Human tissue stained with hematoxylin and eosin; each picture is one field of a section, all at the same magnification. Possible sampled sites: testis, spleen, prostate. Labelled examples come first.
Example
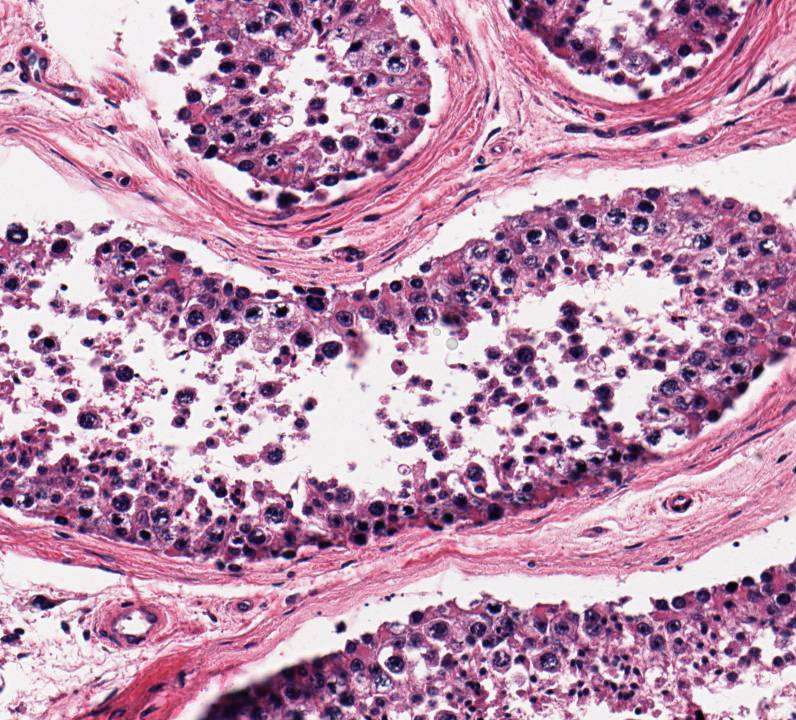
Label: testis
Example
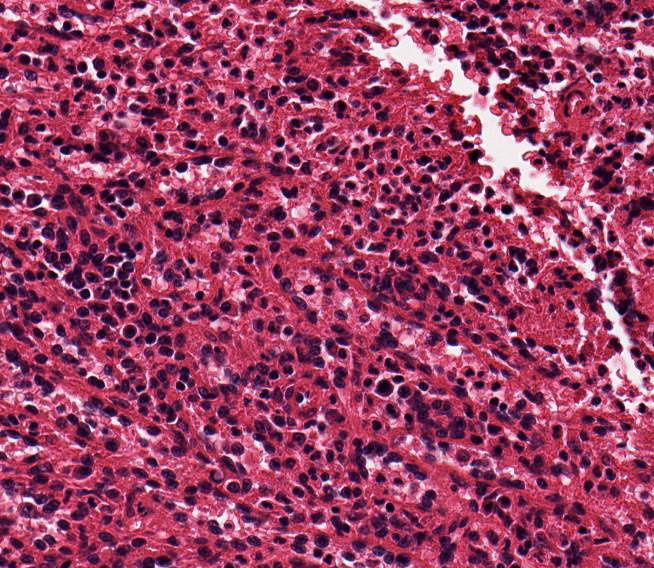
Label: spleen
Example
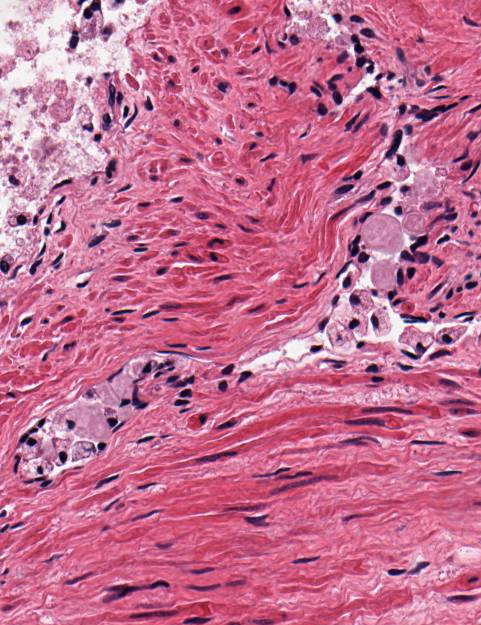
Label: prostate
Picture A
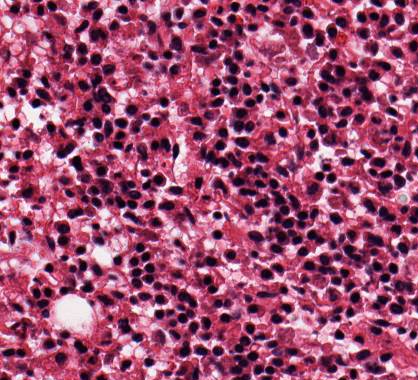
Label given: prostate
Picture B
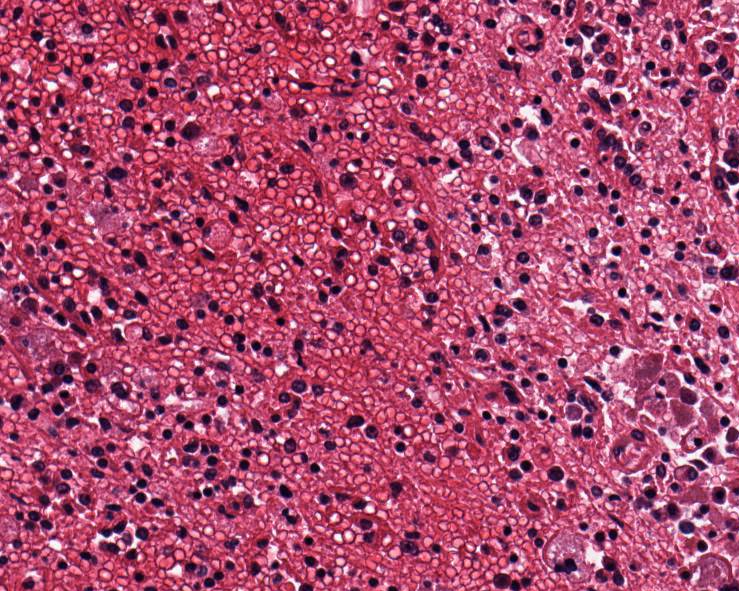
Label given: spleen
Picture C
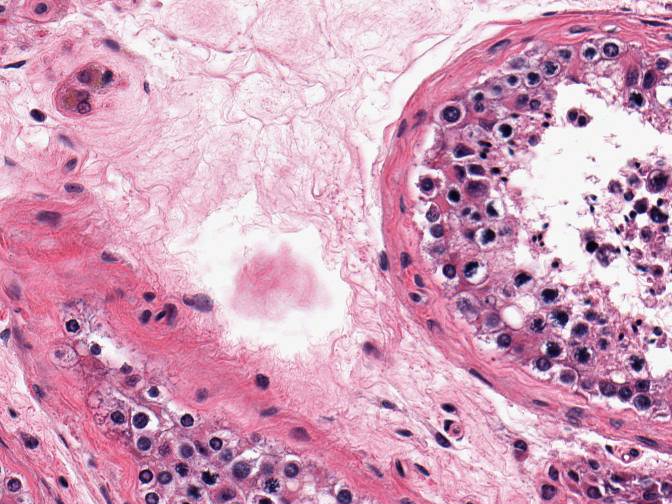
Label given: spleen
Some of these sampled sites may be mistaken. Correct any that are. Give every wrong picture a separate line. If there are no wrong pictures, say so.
A: spleen, not prostate
C: testis, not spleen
